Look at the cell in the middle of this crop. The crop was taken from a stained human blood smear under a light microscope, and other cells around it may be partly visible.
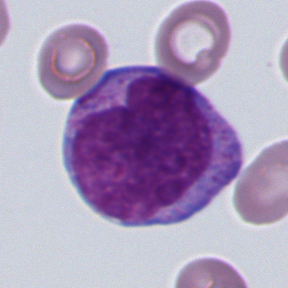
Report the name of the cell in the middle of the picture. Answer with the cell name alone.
atypical promyelocyte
